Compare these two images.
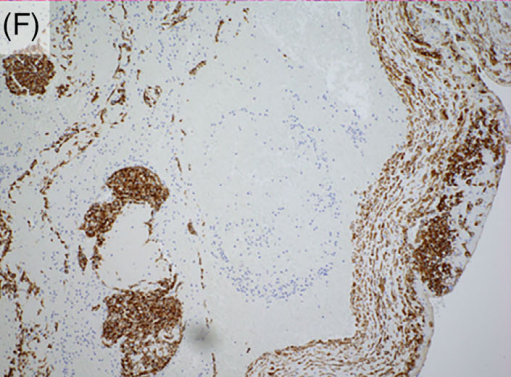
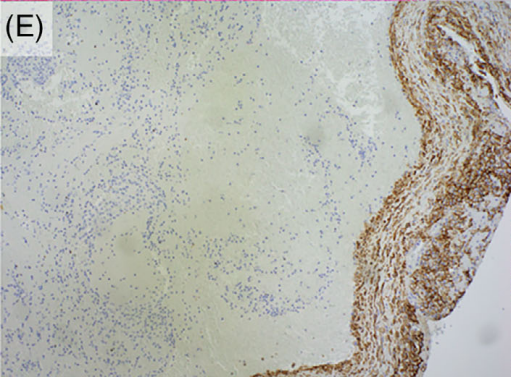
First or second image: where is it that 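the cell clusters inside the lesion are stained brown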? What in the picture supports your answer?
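Second image: only the wall band is brown; the interior is pale blue. First image: besides the wall band, rounded clusters inside the lesion are strongly brown.
Hence: the first image.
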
